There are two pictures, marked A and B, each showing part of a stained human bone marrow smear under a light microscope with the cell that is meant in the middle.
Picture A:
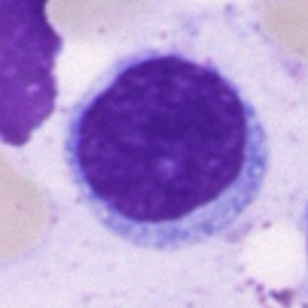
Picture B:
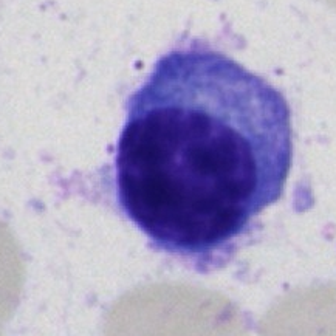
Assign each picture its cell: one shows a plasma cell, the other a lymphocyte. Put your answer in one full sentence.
In picture A the cell is a lymphocyte; in picture B, a plasma cell.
